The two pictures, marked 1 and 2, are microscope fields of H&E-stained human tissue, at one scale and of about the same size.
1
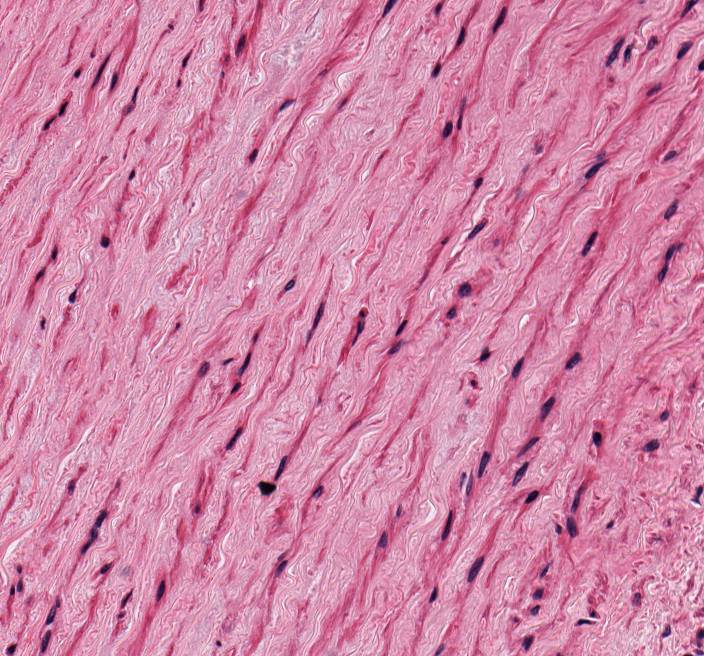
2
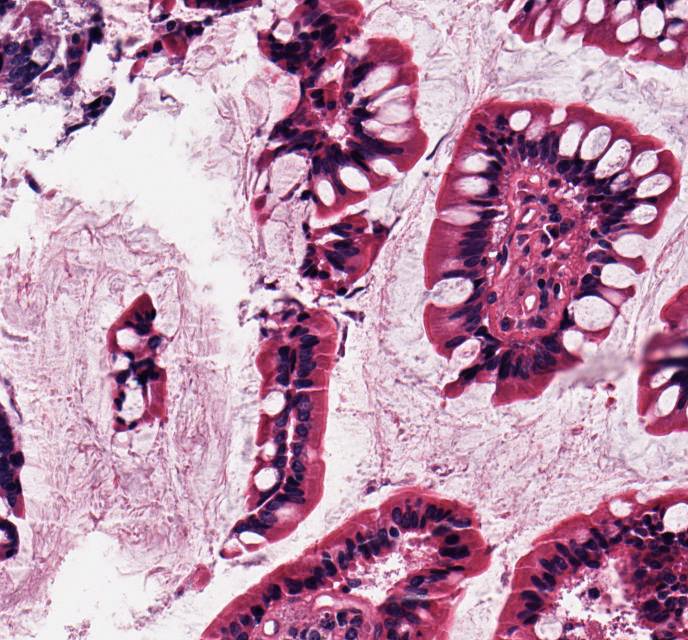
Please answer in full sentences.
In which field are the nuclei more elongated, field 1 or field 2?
On the whole the nuclei of field 1 are more drawn out than those of field 2.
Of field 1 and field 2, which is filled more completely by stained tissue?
It is field 1 that stained tissue fills more completely.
